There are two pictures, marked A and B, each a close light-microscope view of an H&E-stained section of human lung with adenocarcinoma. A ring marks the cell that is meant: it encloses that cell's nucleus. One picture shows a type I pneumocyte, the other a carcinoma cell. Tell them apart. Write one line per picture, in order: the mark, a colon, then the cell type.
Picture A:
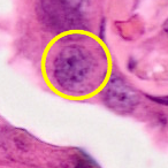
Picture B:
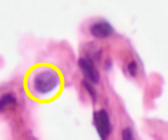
A: carcinoma cell
B: type I pneumocyte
